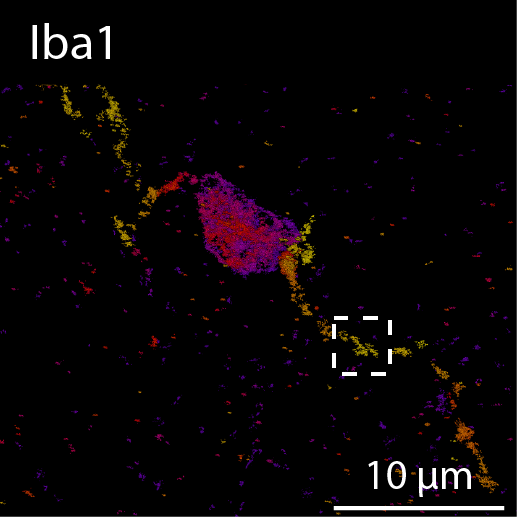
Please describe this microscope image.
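A single microglia cell is seen in a dark, sparsely labelled field. Its small oval cell body, shown in red and purple, gives off thin processes, one running down and to the right and another up and to the left, fading into scattered dots.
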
